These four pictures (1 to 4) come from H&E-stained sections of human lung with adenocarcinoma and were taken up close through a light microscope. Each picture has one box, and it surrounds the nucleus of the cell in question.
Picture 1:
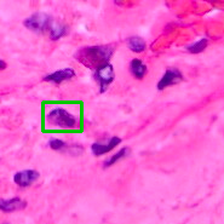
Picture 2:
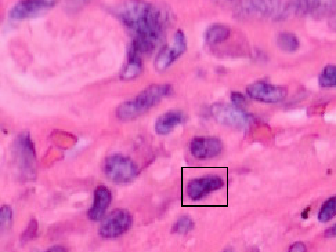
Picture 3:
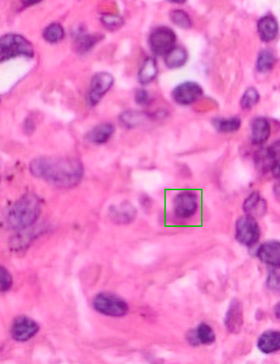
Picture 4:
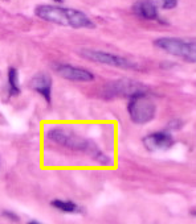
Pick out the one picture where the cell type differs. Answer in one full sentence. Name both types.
The different one is picture 4; it shows a “smooth muscle cell or pericyte”, whereas all the others show plasma cells.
